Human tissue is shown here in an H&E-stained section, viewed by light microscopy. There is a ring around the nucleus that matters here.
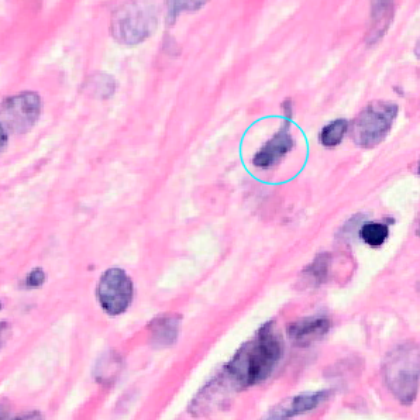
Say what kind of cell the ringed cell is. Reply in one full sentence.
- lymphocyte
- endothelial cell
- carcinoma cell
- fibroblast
Right, so the ringed cell is a lymphocyte, to answer that.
